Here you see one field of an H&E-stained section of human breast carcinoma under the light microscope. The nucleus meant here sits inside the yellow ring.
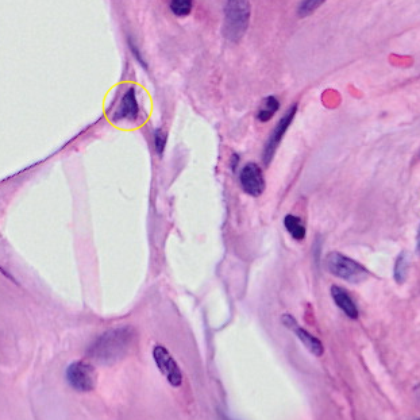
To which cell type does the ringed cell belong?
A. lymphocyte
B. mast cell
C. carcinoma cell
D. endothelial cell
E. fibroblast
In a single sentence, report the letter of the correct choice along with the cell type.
Since the ringed cell is a fibroblast, option E is correct.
